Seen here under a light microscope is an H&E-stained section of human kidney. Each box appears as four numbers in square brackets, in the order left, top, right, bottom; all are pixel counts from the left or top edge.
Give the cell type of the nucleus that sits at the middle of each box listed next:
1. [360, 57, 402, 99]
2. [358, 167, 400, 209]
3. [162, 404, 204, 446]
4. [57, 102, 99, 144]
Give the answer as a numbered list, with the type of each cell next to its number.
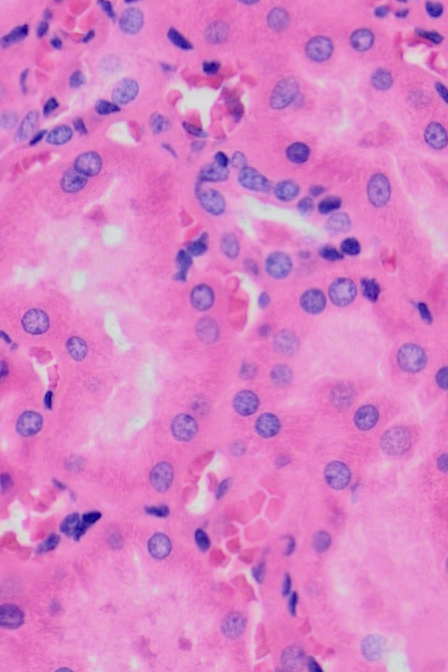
1. proximal tubule cell
2. proximal tubule cell
3. proximal tubule cell
4. collecting duct cell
